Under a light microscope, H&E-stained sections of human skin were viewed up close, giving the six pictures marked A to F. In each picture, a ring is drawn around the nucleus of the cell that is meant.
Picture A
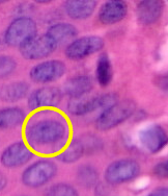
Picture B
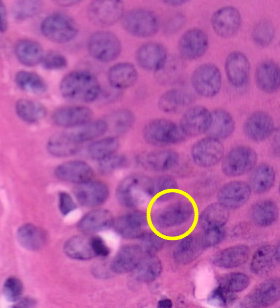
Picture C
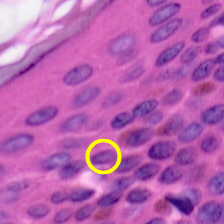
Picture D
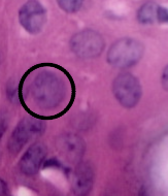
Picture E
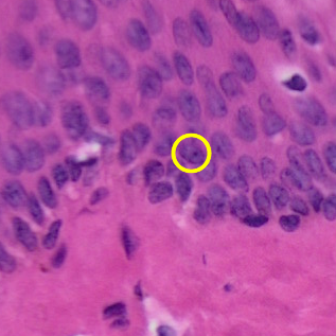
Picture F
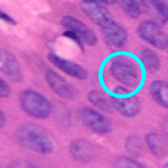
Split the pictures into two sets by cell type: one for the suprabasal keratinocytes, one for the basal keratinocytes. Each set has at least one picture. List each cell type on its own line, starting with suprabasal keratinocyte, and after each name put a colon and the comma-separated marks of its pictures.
suprabasal keratinocyte: A, D, F
basal keratinocyte: B, C, E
